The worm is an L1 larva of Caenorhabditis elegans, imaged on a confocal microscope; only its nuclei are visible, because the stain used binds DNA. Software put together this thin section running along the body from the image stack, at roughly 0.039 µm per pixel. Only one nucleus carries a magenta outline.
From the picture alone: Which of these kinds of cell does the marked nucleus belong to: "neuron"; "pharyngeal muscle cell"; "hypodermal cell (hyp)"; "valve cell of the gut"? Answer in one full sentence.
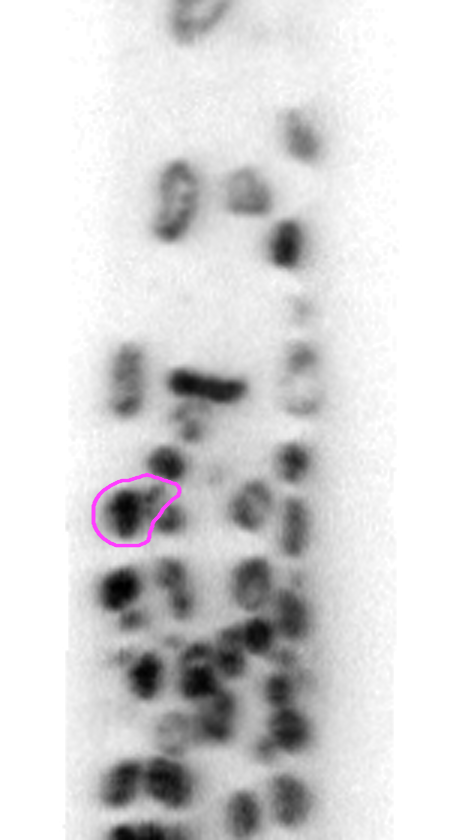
The marked cell is a neuron.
